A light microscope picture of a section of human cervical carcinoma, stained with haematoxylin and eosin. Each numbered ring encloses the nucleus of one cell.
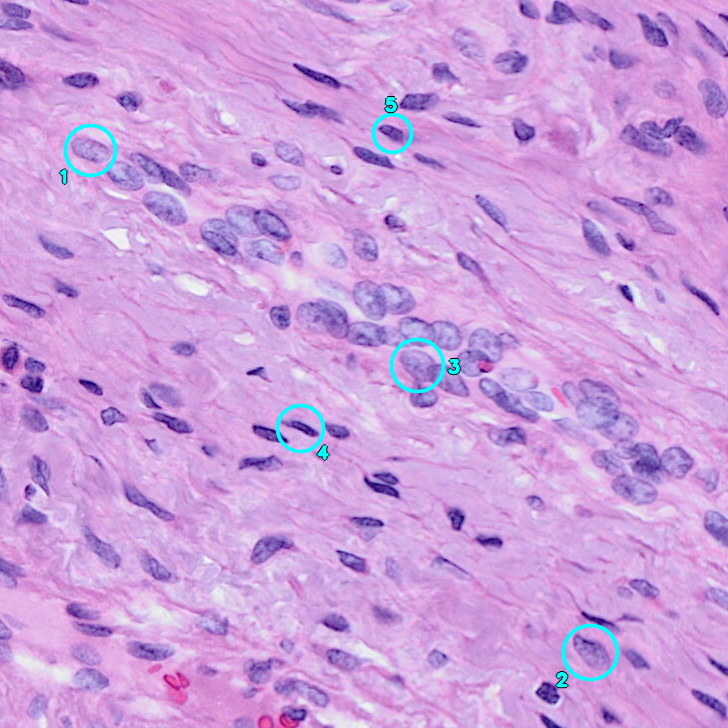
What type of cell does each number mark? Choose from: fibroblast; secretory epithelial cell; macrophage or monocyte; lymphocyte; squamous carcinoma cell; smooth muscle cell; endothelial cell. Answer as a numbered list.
1. endothelial cell
2. fibroblast
3. endothelial cell
4. fibroblast
5. fibroblast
